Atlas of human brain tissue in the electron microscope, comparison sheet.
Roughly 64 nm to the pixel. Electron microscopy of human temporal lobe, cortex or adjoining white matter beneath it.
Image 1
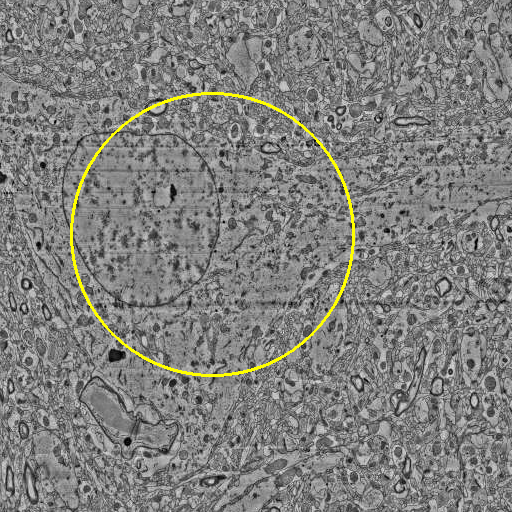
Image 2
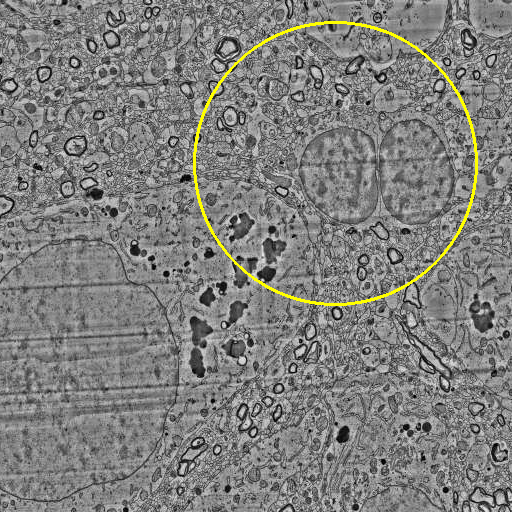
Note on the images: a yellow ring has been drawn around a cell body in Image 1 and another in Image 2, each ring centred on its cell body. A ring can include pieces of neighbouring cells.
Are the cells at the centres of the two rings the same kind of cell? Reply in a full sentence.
No, the two cells are of two kinds.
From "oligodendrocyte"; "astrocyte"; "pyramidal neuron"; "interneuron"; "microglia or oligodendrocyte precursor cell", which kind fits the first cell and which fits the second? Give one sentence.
The cell marked in the first picture is a pyramidal neuron, and the one marked in the second is an oligodendrocyte.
